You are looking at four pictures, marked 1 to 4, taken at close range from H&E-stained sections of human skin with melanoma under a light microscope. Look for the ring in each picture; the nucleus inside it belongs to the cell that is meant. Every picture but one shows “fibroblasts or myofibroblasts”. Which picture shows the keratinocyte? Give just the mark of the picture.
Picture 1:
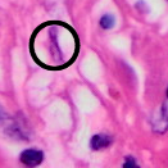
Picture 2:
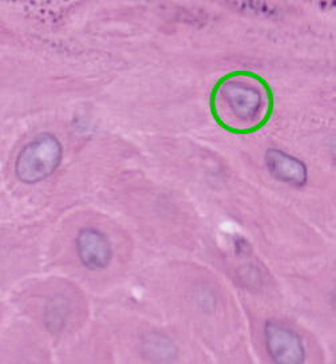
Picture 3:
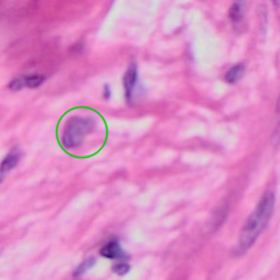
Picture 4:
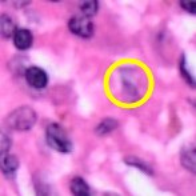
2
